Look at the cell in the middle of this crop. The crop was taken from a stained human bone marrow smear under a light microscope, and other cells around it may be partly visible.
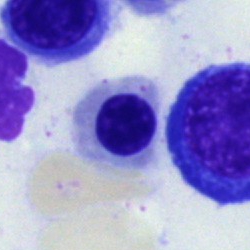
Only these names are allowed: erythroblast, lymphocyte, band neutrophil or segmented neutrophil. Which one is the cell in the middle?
erythroblast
